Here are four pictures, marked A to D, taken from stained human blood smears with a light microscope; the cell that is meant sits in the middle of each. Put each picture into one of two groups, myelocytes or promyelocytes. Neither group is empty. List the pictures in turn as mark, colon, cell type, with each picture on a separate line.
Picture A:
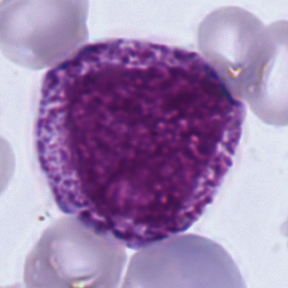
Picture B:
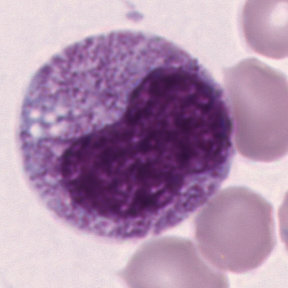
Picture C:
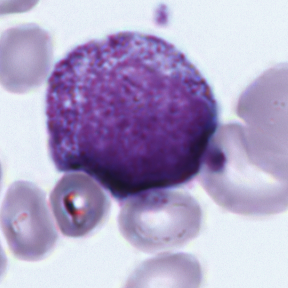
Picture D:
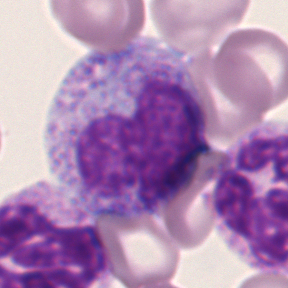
A: promyelocyte
B: myelocyte
C: myelocyte
D: myelocyte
